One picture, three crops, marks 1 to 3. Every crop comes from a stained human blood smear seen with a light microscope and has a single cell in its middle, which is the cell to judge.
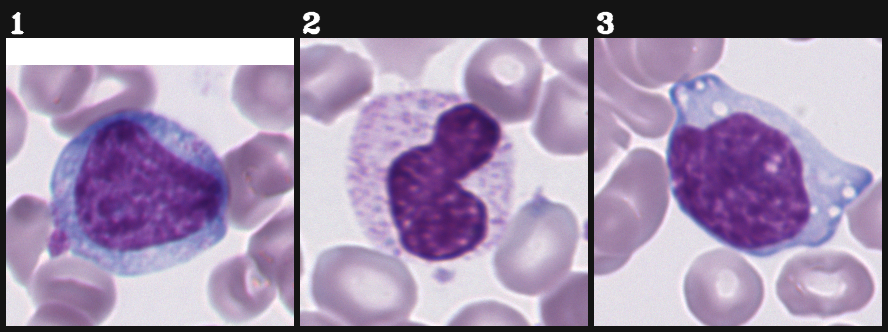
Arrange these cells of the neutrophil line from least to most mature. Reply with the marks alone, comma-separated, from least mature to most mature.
3, 1, 2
